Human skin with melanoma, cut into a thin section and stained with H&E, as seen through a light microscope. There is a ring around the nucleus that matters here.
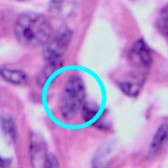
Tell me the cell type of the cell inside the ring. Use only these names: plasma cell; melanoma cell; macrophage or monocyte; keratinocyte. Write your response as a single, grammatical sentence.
The expected answer is simply that the cell inside the ring is a melanoma cell.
